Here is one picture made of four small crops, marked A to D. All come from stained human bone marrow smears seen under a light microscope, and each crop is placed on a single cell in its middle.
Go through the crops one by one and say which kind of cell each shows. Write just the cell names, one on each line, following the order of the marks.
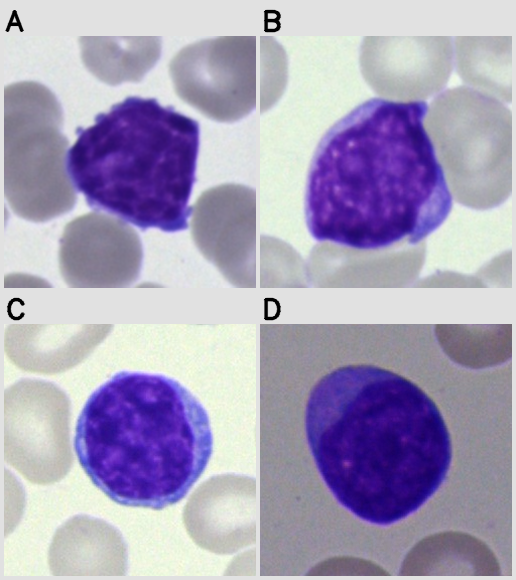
blast
blast
lymphocyte
blast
